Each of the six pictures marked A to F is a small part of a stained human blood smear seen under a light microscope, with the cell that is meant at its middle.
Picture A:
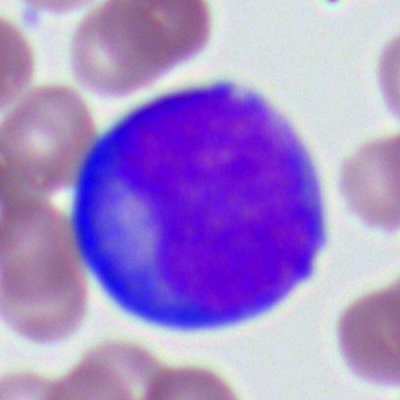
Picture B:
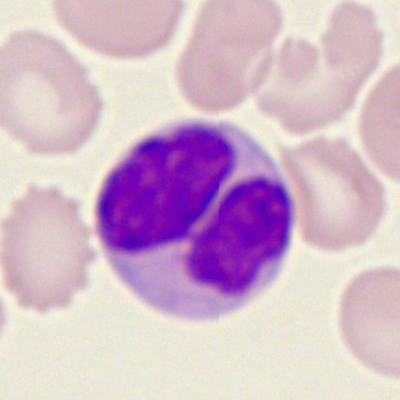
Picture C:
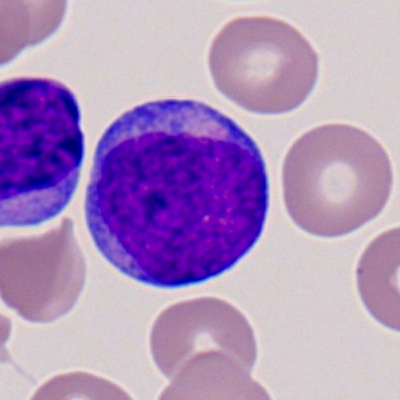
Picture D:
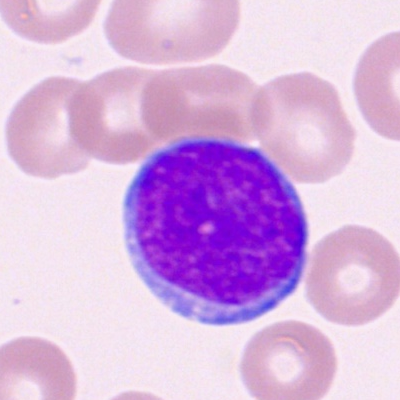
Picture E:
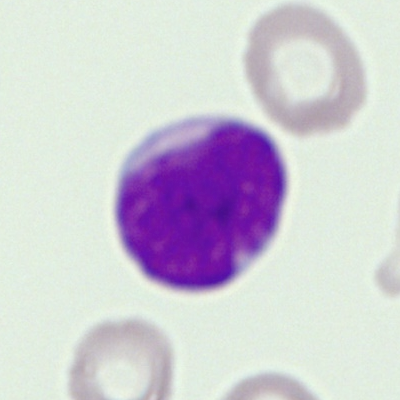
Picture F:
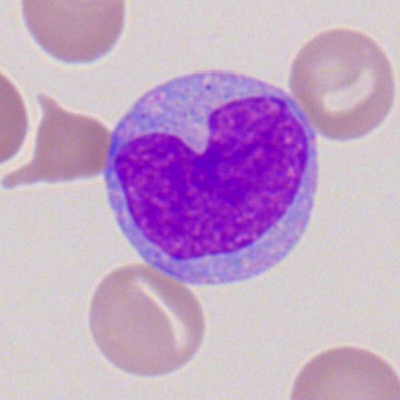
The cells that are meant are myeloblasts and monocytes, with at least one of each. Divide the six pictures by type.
A: myeloblast
B: monocyte
C: myeloblast
D: myeloblast
E: myeloblast
F: monocyte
